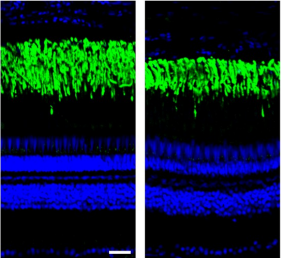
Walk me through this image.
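Two side-by-side sections of retina, with rod outer segments stained green at the outer edge above the blue-stained nuclear layers. The green segments are slender and elongated, packed in a band; in the right section the band is shorter and thinner than in the left. Below lie the cone nuclear layer, the rod nuclear layer and a thick inner nuclear layer, with a thin ganglion cell layer at the bottom.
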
